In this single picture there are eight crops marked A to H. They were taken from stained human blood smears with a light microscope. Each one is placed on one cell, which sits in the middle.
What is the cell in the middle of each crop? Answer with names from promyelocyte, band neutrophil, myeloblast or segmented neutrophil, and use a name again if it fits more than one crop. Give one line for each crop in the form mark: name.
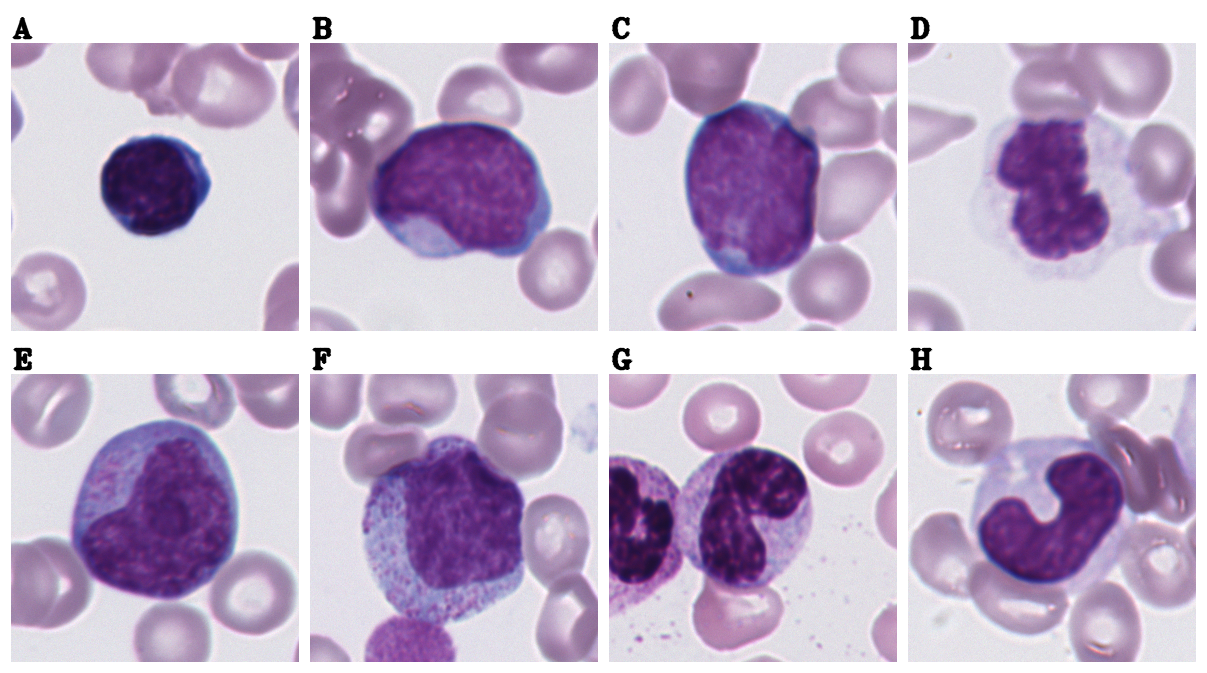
A: myeloblast
B: myeloblast
C: myeloblast
D: segmented neutrophil
E: promyelocyte
F: promyelocyte
G: band neutrophil
H: band neutrophil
